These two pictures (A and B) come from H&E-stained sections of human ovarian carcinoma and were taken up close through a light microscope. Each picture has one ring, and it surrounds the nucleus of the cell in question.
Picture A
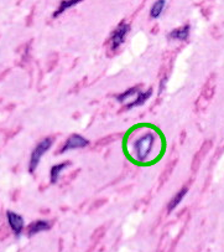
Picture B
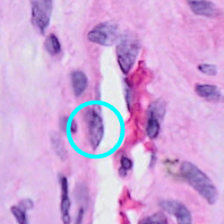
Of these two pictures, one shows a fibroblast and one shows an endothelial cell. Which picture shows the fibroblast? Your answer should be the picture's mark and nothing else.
A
